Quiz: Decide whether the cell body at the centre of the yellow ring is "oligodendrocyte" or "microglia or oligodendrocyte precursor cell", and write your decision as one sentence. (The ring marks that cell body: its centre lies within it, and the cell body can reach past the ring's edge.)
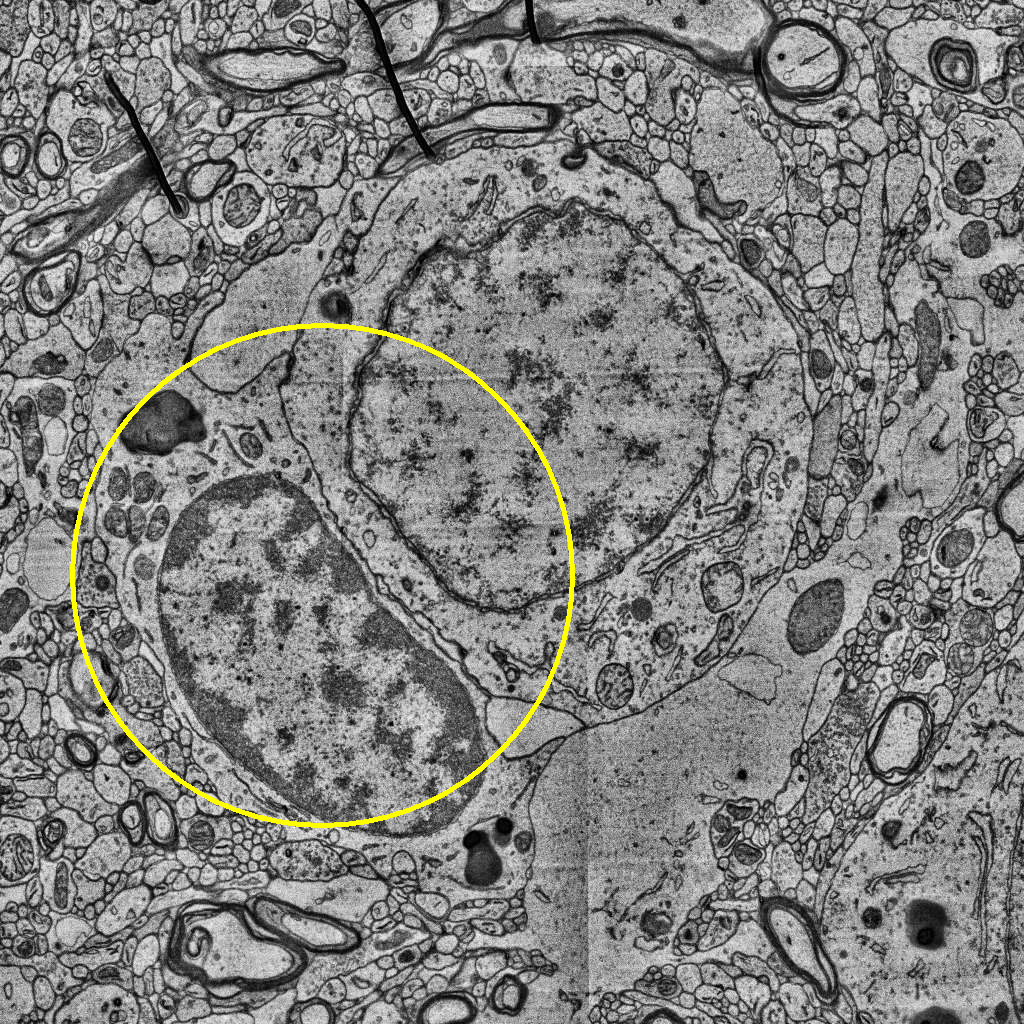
The cell holding the ring's centre is a microglial cell or oligodendrocyte precursor cell.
